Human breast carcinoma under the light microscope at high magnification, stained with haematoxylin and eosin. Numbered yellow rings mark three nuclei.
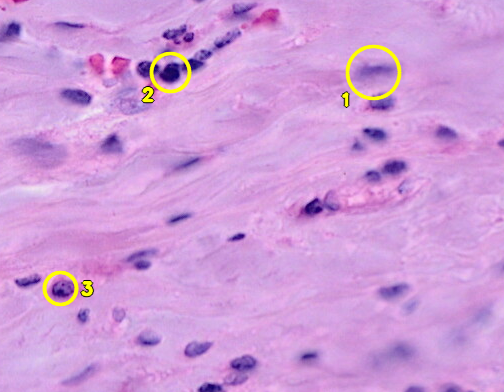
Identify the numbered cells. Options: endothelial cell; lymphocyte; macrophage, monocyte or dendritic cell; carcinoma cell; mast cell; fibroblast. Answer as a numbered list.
1. fibroblast
2. lymphocyte
3. mast cell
